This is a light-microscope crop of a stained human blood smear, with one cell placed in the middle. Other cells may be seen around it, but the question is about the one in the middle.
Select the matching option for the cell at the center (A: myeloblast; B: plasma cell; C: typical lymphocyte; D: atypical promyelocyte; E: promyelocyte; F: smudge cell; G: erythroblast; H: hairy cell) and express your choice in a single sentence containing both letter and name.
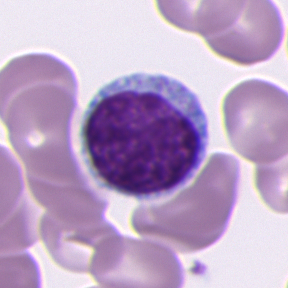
The cell in the center of this crop is a typical lymphocyte, so option C is the one to pick.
